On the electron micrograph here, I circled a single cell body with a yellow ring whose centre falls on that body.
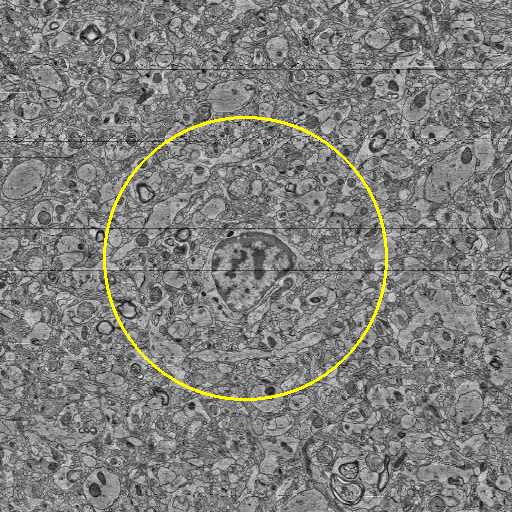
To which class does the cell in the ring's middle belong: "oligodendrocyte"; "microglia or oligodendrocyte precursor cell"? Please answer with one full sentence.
In this picture, the cell body circled at the ring's centre belongs to a microglial cell or oligodendrocyte precursor cell.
